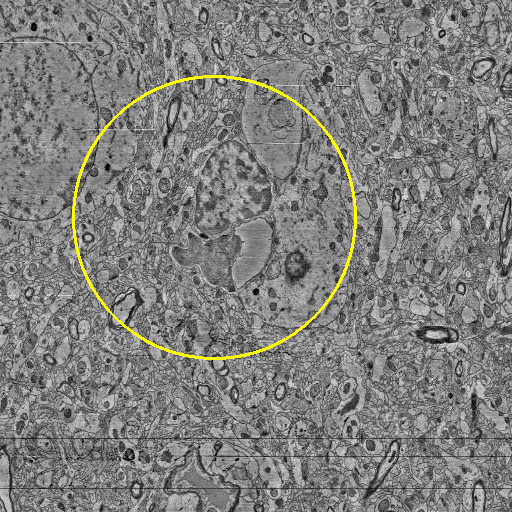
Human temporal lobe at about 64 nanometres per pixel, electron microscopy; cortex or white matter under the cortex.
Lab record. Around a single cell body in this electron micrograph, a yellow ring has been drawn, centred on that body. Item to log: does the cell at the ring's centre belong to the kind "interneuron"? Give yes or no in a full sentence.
No, in the micrograph, the ringed cell at the centre belongs to a different kind.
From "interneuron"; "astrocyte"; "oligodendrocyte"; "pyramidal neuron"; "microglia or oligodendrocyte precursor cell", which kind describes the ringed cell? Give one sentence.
The ring holds a microglial cell or oligodendrocyte precursor cell at its centre.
